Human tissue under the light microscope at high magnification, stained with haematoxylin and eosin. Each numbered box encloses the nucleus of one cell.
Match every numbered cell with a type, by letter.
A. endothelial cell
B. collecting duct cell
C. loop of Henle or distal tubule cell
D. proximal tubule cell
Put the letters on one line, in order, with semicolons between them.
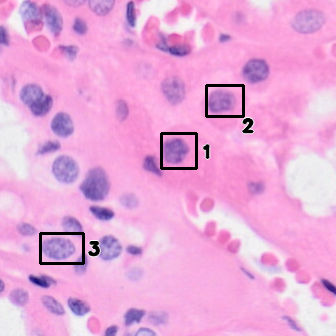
D; D; B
